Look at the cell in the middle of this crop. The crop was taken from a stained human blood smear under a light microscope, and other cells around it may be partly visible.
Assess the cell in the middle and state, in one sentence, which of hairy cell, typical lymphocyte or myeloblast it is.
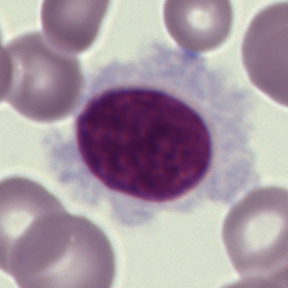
In short, the cell at the center is a hairy cell.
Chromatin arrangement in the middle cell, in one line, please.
There is no coarse clumping; the chromatin stays fine throughout.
